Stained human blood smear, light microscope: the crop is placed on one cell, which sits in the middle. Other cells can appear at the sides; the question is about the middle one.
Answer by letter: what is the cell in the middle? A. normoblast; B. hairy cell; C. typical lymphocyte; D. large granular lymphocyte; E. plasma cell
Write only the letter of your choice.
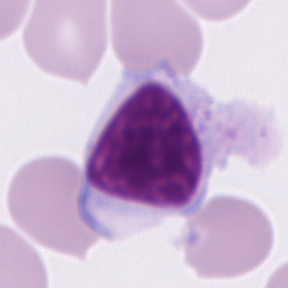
D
